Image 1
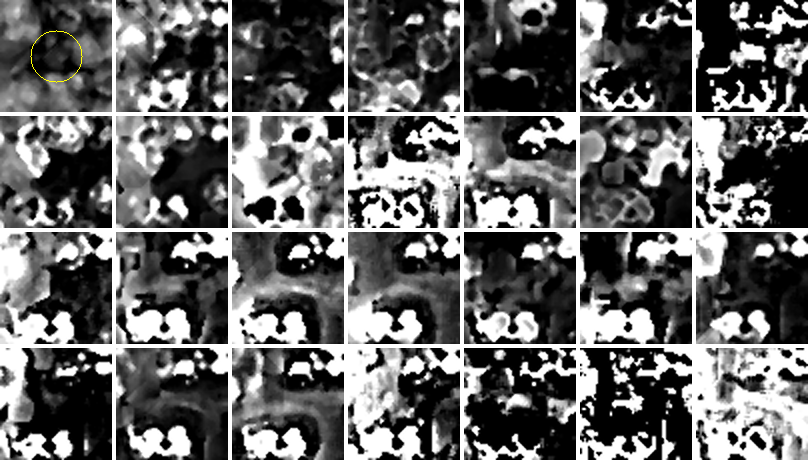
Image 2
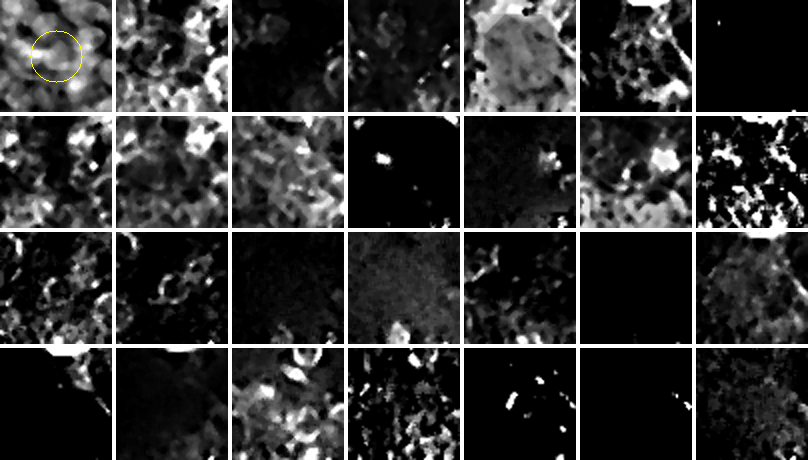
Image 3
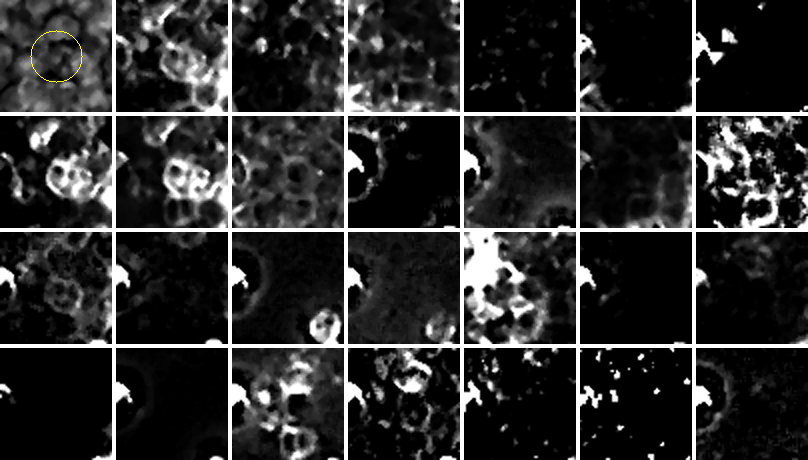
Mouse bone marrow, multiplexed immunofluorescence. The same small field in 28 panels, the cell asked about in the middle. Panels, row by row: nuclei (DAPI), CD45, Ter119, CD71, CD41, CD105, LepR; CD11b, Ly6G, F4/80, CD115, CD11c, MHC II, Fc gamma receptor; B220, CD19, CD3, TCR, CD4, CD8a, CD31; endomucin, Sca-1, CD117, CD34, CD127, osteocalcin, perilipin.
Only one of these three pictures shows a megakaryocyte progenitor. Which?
Picture 2.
